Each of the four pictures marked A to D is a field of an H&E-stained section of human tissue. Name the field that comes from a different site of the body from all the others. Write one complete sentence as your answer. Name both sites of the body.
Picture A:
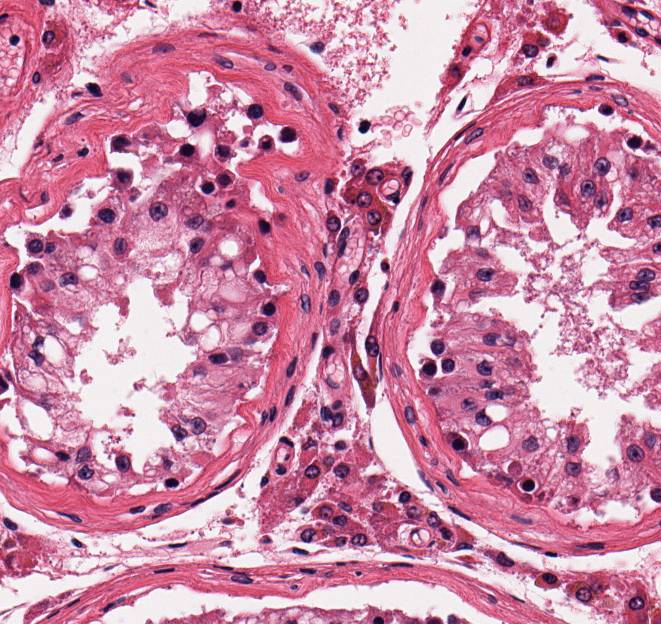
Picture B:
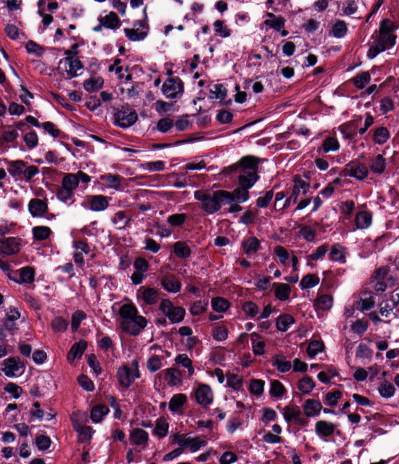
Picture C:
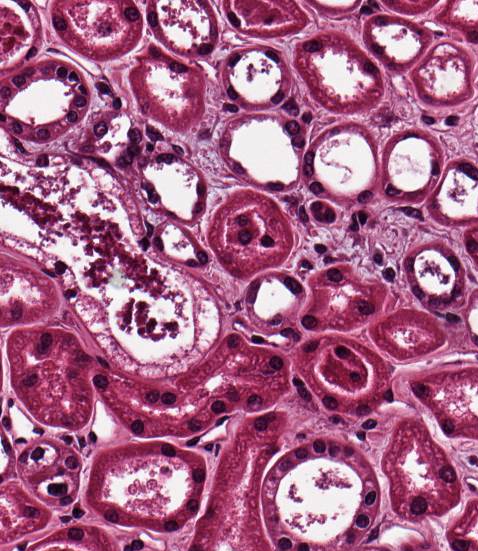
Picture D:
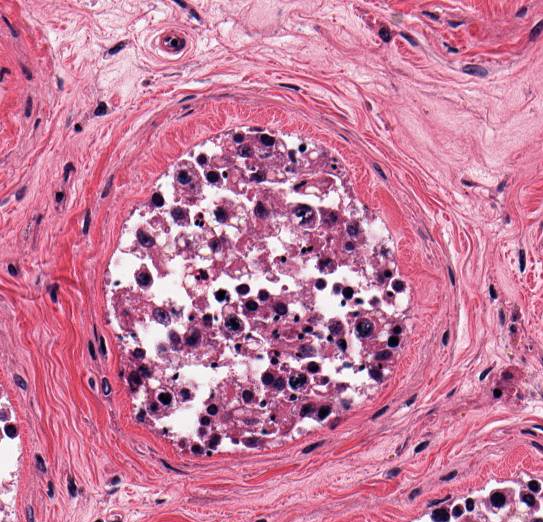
Unlike the rest, which come from the testis, picture C comes from the renal cortex.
